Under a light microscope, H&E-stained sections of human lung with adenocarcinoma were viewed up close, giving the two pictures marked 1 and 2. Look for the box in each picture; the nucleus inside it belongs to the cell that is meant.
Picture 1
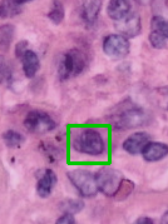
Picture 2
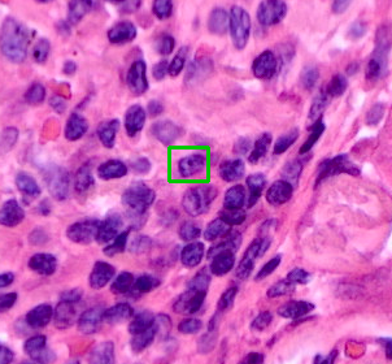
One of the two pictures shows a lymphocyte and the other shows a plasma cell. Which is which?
1: plasma cell
2: lymphocyte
